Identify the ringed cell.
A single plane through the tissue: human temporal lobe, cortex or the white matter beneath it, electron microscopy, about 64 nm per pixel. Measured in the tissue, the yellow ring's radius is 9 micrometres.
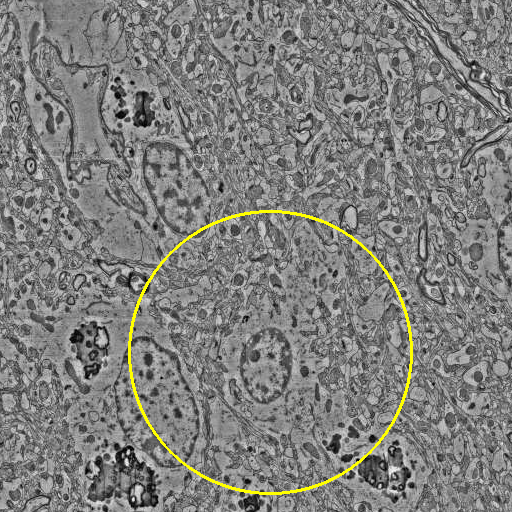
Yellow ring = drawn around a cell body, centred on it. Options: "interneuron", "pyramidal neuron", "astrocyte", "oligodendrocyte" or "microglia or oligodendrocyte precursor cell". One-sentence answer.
What the ring is centred on is an astrocyte.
